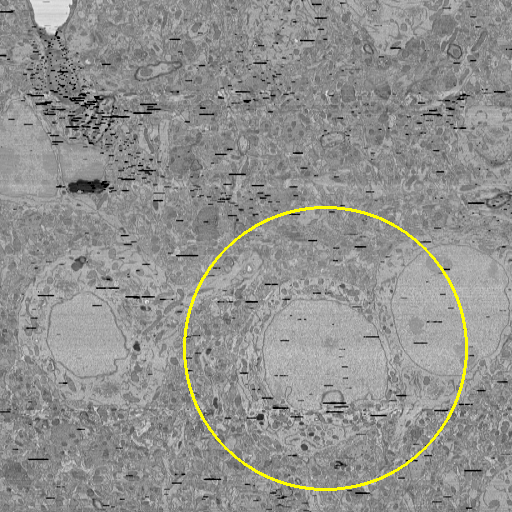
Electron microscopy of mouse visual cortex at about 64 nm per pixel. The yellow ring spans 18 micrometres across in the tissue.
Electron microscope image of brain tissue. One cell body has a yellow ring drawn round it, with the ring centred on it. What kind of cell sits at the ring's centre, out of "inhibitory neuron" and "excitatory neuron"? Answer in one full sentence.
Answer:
It is an inhibitory neuron whose cell body sits at the centre of the yellow ring.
